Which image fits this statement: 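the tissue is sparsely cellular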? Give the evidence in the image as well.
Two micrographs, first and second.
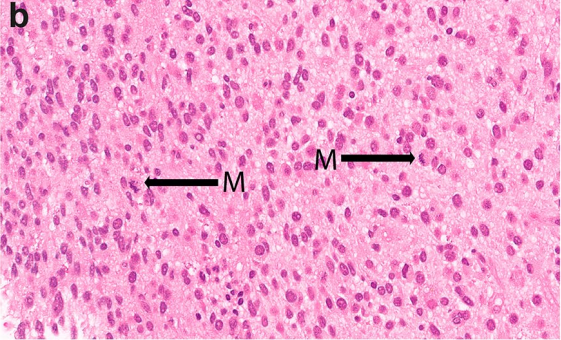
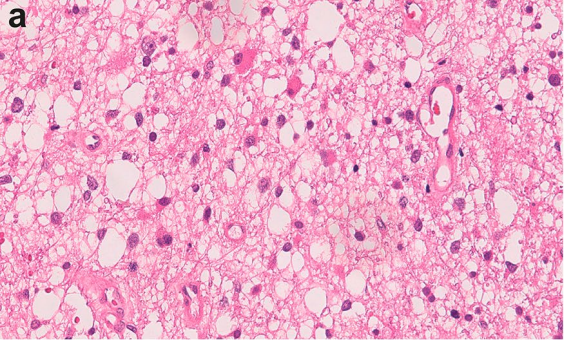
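The second image. Second image: nuclei lie far apart in a loose, vacuolated background.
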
